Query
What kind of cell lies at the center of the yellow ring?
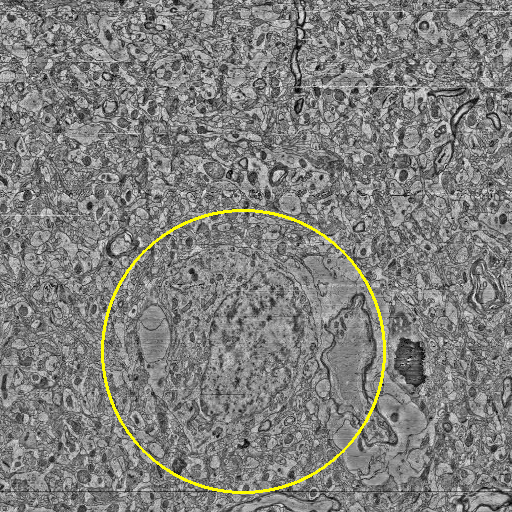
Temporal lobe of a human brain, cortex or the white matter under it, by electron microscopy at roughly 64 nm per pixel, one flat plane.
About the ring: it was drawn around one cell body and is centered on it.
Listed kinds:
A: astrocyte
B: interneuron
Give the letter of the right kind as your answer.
B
